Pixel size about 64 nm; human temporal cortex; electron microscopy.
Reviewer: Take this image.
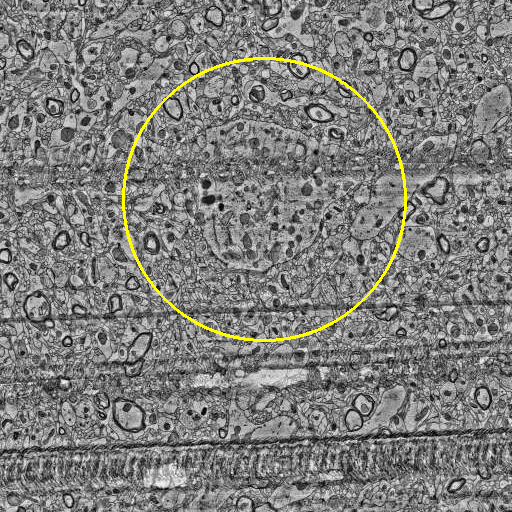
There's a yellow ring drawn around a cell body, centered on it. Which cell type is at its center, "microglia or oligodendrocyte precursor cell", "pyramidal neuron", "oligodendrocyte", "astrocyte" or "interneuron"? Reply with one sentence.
At the center of the yellow ring is an interneuron.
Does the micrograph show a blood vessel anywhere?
No, none is visible.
